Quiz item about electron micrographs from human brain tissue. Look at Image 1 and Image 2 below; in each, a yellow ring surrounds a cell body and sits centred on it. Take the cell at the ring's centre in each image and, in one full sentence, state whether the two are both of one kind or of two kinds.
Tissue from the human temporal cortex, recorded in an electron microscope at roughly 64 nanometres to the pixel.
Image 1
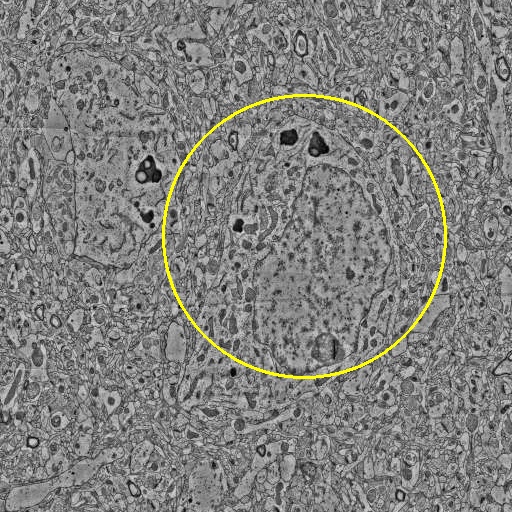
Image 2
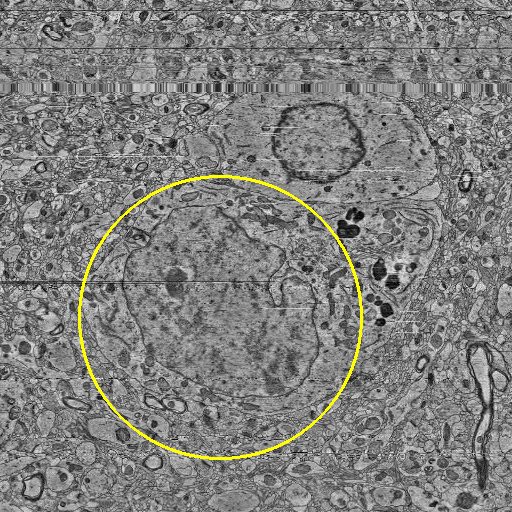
In Image 1 and Image 2, the cells at the ring centres are both of one kind.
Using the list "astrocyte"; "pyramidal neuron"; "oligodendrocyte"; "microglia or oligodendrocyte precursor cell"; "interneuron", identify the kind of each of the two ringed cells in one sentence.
Both the first and the second picture show an interneuron in the ring.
